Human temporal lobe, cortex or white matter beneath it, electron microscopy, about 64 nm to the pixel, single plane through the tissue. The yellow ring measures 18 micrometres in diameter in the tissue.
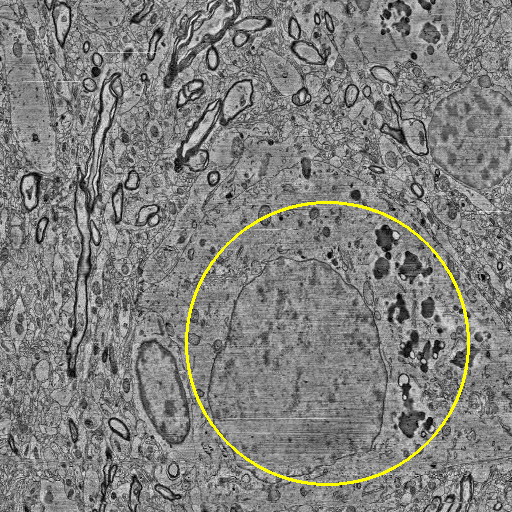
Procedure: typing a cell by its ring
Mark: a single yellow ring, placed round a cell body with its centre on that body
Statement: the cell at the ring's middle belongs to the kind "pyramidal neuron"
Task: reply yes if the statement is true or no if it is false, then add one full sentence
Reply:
Yes, this is true: the cell at the ring's centre in the picture belongs to that kind.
